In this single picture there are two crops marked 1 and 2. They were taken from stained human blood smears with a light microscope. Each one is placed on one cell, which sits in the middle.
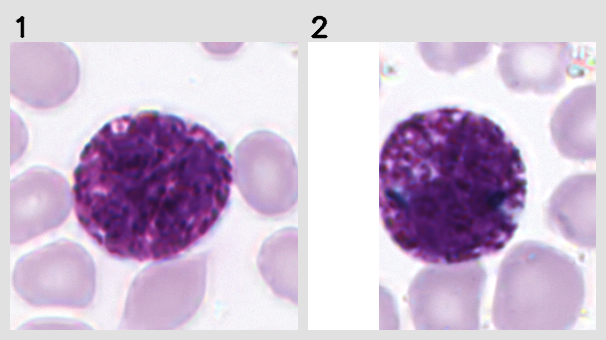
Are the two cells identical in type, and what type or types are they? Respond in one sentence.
Yes, both crops have basophils as their central cells.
